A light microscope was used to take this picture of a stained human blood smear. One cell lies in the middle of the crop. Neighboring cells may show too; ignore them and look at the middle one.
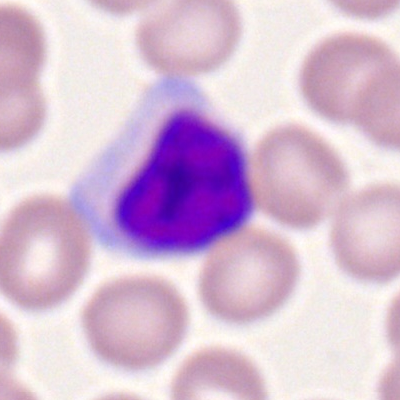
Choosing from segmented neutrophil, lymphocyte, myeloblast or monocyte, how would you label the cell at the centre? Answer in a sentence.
This crop's central cell is a lymphocyte.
